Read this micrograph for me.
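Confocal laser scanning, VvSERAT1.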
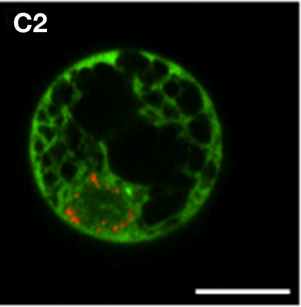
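The green outlines a network of many dark round vacuoles of varying size, with a few large dark spaces. In the lower part of the cell the green cytoplasm is denser, and the red dots sit within this patch. Elsewhere no red is seen, and the green stays in thin strands and a rim along the cell edge.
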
